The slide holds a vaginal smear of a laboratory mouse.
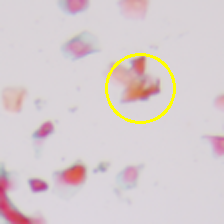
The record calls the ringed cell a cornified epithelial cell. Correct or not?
Correct; it is a cornified epithelial cell.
